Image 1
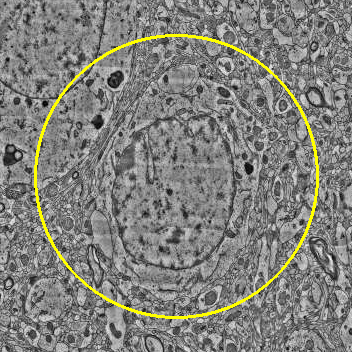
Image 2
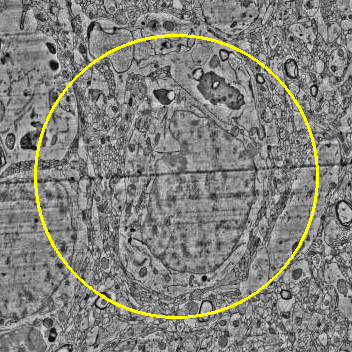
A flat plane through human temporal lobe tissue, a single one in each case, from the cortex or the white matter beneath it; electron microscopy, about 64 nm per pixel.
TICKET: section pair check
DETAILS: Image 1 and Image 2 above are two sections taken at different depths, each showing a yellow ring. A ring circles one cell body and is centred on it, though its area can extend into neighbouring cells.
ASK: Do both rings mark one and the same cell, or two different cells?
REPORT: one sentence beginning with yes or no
No, each of the two rings holds a different cell.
